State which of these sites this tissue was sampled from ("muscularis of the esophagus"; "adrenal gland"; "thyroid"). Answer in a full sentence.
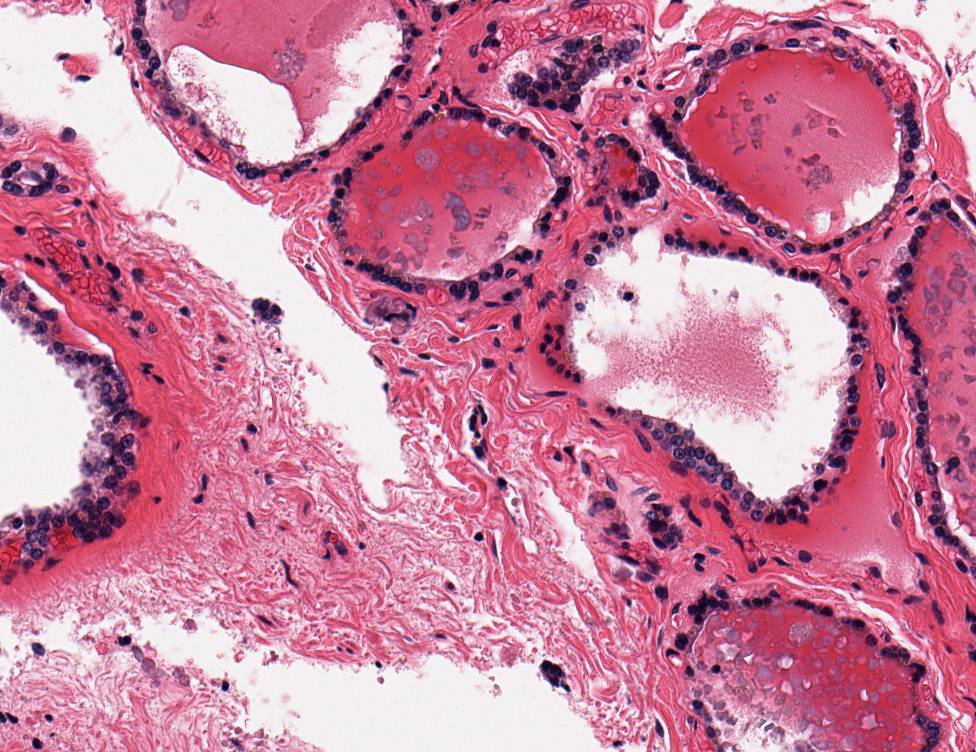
The site this tissue was sampled from is the thyroid.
